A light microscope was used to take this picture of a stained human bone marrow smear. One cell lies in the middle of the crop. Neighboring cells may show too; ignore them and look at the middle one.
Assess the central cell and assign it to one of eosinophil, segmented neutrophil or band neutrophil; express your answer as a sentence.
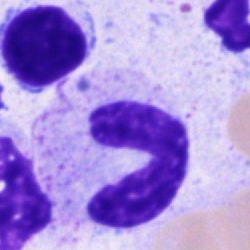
Of the cells in this crop, the central one is a band neutrophil.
